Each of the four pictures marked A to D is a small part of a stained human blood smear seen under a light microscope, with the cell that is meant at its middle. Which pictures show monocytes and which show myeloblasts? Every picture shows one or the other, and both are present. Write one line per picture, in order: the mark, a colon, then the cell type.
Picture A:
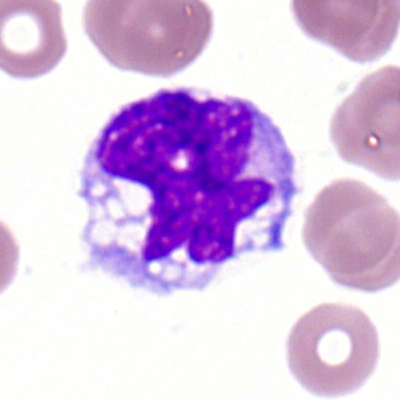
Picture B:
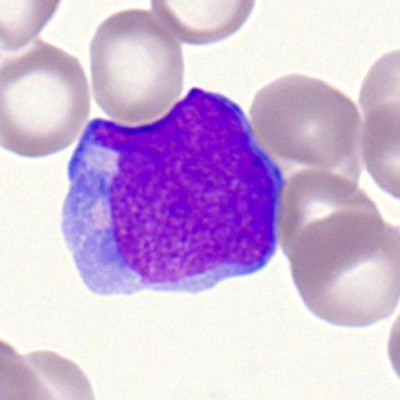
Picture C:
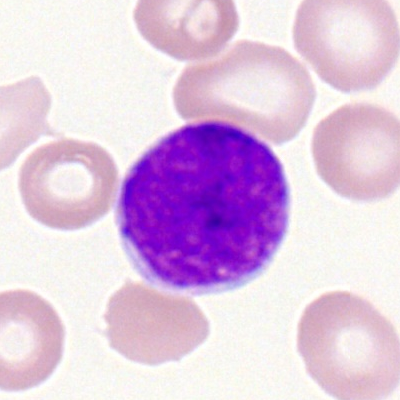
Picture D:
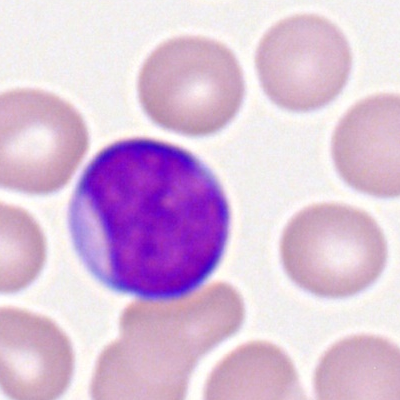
A: monocyte
B: myeloblast
C: myeloblast
D: myeloblast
